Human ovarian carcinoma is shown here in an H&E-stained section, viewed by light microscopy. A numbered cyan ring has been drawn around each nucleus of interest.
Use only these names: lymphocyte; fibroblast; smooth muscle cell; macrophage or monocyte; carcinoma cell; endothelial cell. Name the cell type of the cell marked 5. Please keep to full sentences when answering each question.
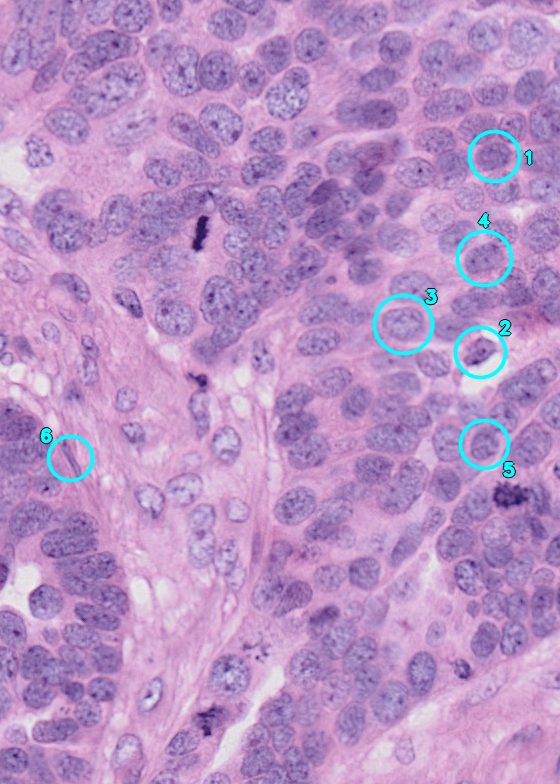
Among the marked cells, number 5 is a carcinoma cell.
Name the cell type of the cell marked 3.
The cell that bears the number 3 is a carcinoma cell.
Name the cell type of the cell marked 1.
Denoted by the label 1 in the section is a carcinoma cell.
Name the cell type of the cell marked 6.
The cell to which the number 6 is assigned is a fibroblast.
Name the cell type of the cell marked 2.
Number 2 among the marked cells is a macrophage or monocyte.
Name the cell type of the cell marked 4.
The cell indicated with the number 4 is classed as a carcinoma cell.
